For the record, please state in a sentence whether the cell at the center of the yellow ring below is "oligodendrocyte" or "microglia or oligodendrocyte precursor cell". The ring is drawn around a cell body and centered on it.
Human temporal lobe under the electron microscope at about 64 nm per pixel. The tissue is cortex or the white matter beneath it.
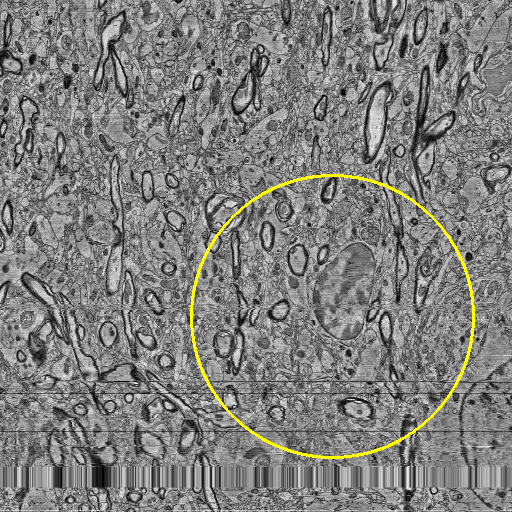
The cell at the ring's center is a microglial cell or oligodendrocyte precursor cell.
